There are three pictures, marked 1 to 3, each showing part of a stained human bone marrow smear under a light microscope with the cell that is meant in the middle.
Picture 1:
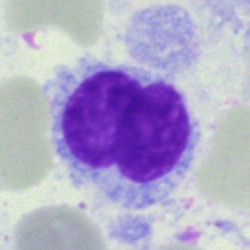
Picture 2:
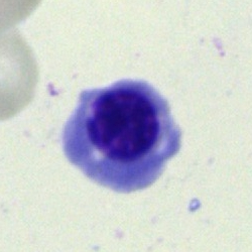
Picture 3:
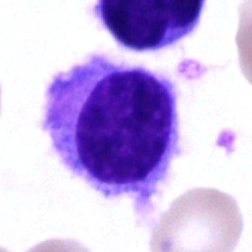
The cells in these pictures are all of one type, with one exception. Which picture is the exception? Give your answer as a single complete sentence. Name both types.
The different one is picture 2; it shows an erythroblast, whereas all the others show hairy cells.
